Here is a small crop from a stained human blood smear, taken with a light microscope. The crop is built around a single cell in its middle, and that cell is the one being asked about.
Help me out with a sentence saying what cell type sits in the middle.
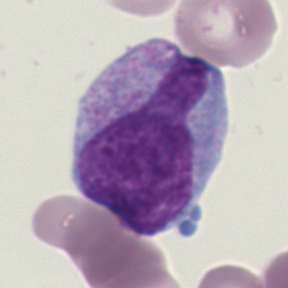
What sits at the centre of this crop is an atypical promyelocyte.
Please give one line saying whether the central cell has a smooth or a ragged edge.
An uneven margin is present, with either ragged stretches or outward projections.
